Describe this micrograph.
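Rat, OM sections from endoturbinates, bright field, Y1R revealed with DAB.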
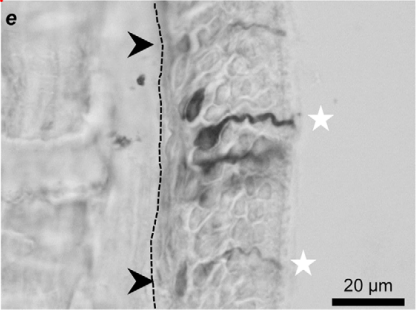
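A strip of olfactory epithelium runs vertically, with a dashed line at its base separating it from the looser lamina propria on the left. Within the epithelium, closely packed rounded and oval cell bodies are stacked in several tiers. A few cells are stained dark grey-brown, with thin dark processes stretching toward the free surface on the right, where white stars mark the staining. Black arrowheads point to a few cells lying right at the base of the epithelium beside the dashed line. These darkly labeled elongated cells are olfactory sensory neurons, with a few more basally situated cells also labeled.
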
